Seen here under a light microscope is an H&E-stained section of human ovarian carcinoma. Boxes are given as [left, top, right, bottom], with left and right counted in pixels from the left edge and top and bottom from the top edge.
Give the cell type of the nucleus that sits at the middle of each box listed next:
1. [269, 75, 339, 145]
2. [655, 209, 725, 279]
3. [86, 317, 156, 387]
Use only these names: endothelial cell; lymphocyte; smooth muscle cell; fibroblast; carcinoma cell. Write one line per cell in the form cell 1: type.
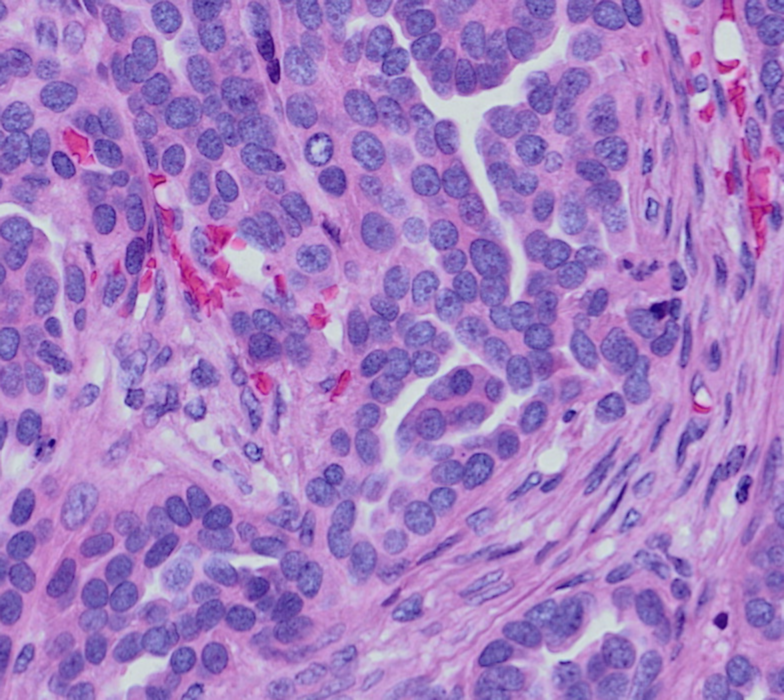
cell 1: carcinoma cell
cell 2: fibroblast
cell 3: fibroblast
